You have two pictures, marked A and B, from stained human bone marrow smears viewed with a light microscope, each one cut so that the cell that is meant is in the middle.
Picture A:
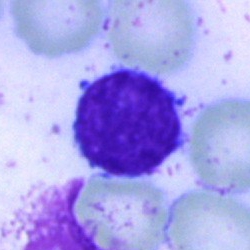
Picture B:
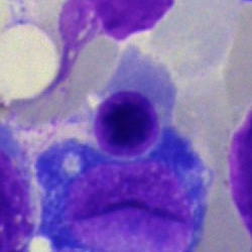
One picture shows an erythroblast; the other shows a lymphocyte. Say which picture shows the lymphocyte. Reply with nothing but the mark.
A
